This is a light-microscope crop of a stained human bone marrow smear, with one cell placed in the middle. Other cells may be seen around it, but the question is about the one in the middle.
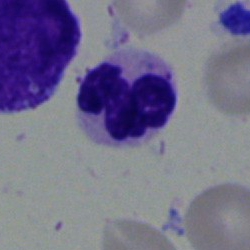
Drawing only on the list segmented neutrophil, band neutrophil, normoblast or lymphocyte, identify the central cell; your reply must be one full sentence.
For this crop, the central cell is a segmented neutrophil.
